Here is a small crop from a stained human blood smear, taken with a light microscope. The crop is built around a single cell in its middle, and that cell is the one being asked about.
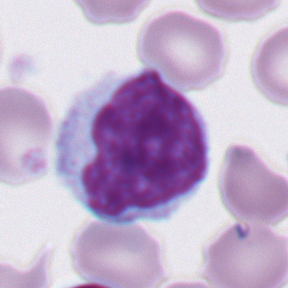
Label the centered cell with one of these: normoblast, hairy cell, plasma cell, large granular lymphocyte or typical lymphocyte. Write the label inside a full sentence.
Classification of the middle cell gives a typical lymphocyte.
